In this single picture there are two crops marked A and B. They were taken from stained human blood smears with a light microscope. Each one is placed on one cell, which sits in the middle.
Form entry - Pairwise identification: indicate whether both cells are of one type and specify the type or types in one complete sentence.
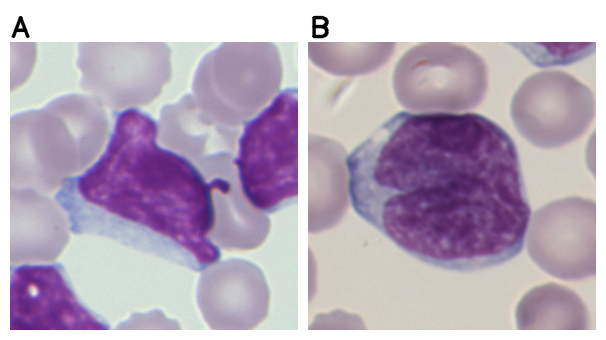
No, crop A and crop B contain, respectively, a lymphocyte and a blast.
